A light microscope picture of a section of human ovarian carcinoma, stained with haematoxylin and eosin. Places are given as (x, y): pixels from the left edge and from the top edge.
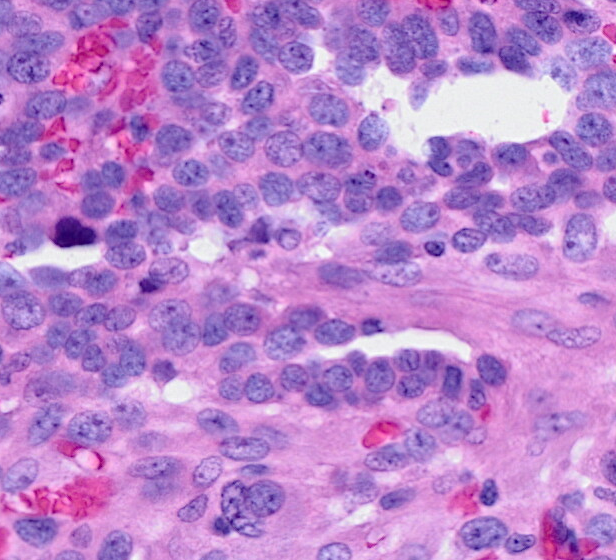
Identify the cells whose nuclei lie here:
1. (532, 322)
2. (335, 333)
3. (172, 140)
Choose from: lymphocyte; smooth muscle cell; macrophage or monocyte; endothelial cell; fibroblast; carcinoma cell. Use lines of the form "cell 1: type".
cell 1: fibroblast
cell 2: carcinoma cell
cell 3: carcinoma cell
